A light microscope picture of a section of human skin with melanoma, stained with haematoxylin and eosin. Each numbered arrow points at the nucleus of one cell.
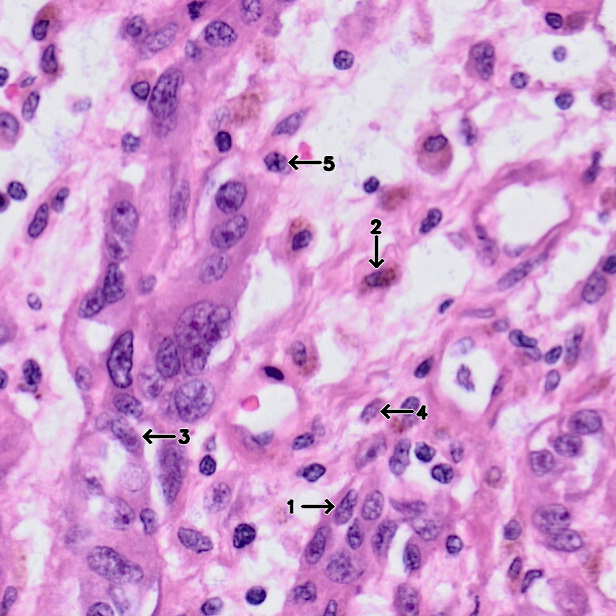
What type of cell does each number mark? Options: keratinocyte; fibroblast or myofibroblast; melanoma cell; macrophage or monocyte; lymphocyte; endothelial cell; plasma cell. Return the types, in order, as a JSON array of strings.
["melanoma cell", "macrophage or monocyte", "melanoma cell", "macrophage or monocyte", "lymphocyte"]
